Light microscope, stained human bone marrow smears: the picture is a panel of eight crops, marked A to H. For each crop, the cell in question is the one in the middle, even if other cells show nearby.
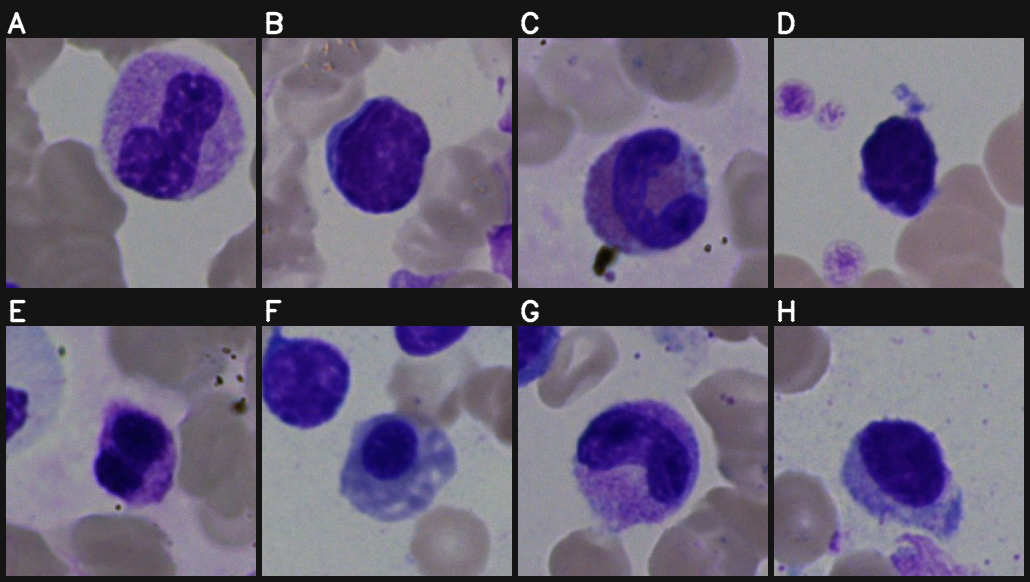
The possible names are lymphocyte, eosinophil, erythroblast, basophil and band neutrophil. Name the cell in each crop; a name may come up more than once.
A: band neutrophil
B: lymphocyte
C: eosinophil
D: lymphocyte
E: basophil
F: erythroblast
G: band neutrophil
H: lymphocyte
